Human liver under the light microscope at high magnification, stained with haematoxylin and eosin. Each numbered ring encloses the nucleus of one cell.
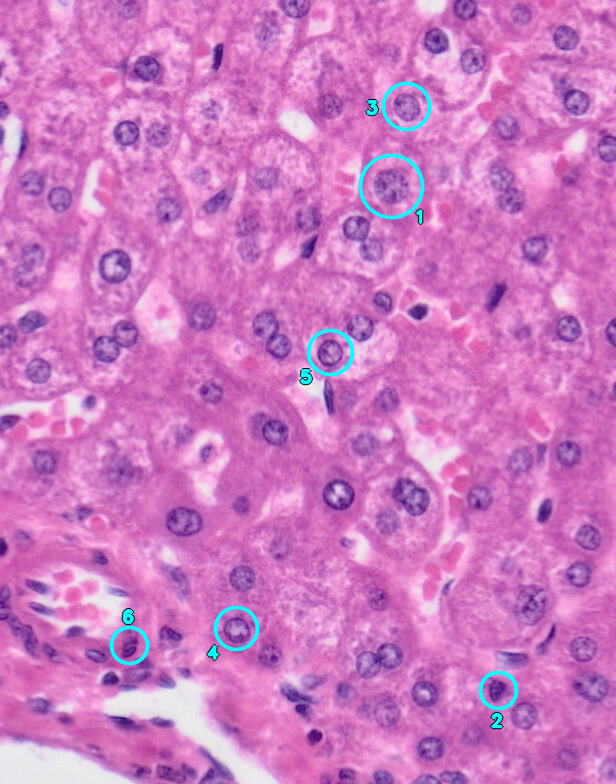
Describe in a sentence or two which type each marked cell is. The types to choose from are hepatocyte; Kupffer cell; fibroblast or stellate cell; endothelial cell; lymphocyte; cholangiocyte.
Cell 1 is a hepatocyte, cell 2 is a fibroblast or stellate cell, cell 3 is a hepatocyte, cell 4 is a hepatocyte, cell 5 is a hepatocyte and cell 6 is a fibroblast or stellate cell.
